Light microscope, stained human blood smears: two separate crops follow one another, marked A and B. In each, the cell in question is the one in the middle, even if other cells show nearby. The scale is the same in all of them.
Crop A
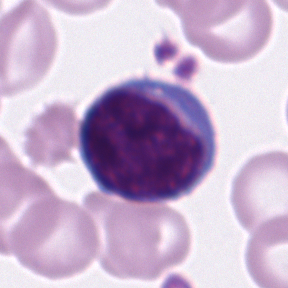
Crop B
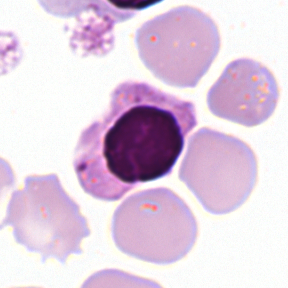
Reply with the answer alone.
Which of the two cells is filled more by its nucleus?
A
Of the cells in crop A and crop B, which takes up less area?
B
